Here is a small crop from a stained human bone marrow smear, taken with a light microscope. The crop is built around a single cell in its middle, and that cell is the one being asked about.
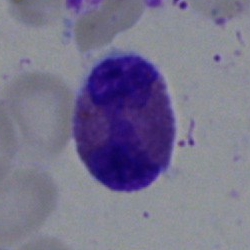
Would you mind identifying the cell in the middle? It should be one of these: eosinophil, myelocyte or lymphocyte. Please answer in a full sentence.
Occupying the centre of the crop is an eosinophil.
